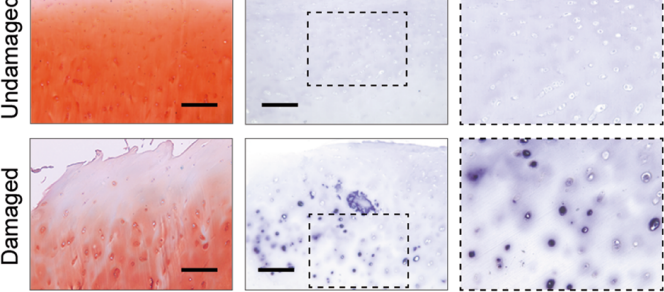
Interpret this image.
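This is articular cartilage, with chondrocytes sitting singly in small clear lacunae within a dense matrix. In the left images the matrix is stained orange-red, strongly in the upper section, while in the lower section the red is much paler near a roughened, irregular surface. In the middle and right images the upper section shows only faint, pale cells, whereas in the lower section many chondrocytes are stained dark purple, some in small clusters. The enlarged view on the right shows these dark purple cells scattered among the lacunae.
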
